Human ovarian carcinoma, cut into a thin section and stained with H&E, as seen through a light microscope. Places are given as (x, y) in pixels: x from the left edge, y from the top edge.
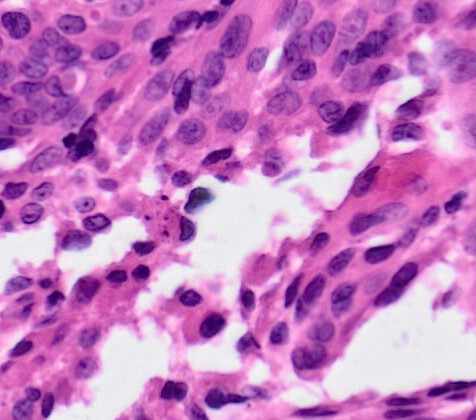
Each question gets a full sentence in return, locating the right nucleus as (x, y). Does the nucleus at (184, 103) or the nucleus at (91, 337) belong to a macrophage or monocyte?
The nucleus of the pair that lies within a macrophage or monocyte is at (91, 337).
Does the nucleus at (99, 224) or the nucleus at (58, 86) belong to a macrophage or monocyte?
The nucleus of the pair that lies within a macrophage or monocyte is at (99, 224).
